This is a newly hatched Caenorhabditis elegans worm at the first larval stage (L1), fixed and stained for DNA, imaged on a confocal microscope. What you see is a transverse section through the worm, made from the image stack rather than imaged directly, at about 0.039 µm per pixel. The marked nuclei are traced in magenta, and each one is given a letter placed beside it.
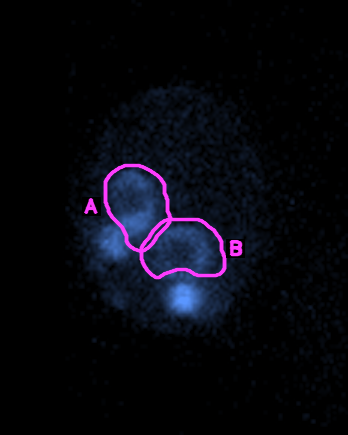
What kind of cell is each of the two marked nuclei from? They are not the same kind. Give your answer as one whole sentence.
One is from an M mesoblast, namely A, and the other, B, is from an intestinal cell.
